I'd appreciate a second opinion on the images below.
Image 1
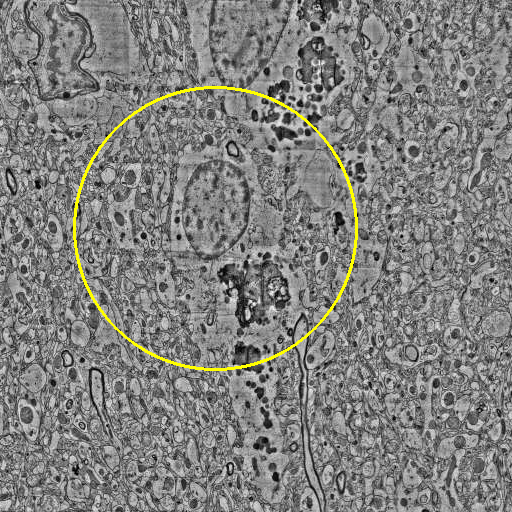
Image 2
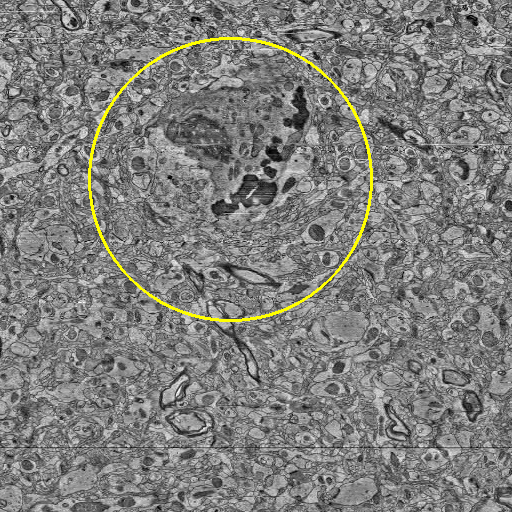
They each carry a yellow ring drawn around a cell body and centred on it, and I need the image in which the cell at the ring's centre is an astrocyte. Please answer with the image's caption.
Image 1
